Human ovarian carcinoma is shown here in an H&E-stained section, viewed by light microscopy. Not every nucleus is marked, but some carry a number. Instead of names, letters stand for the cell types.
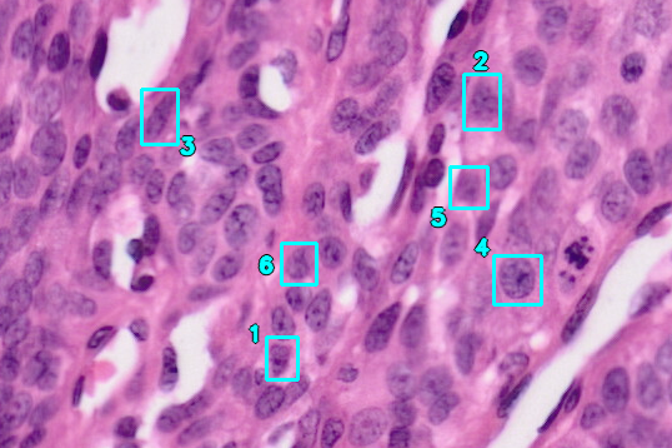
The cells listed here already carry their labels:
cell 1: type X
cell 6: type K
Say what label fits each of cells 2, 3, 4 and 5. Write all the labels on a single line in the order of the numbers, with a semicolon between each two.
type K; type K; type X; type K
